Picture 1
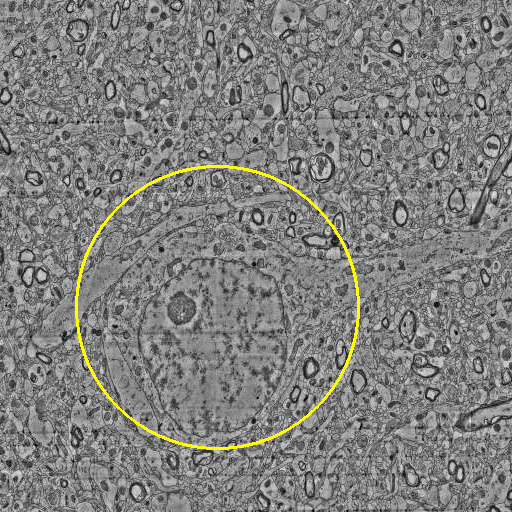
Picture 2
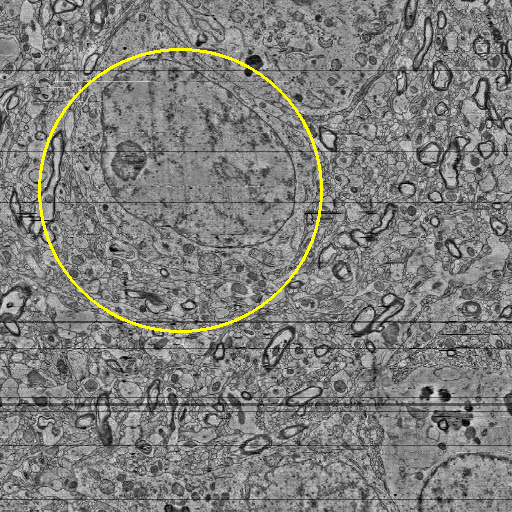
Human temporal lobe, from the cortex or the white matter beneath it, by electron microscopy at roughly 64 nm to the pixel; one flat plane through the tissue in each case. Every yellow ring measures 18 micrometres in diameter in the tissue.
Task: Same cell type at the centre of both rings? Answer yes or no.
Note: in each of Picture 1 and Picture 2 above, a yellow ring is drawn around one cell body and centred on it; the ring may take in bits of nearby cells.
yes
